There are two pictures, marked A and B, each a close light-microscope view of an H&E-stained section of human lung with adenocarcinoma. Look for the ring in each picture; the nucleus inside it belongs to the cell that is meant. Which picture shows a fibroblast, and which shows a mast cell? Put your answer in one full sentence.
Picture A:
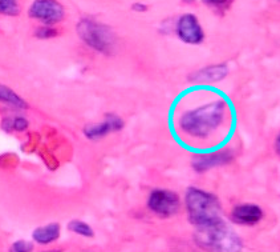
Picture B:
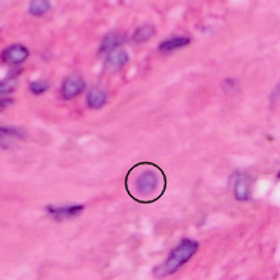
The cell in picture A is a fibroblast, and the one in picture B is a mast cell.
